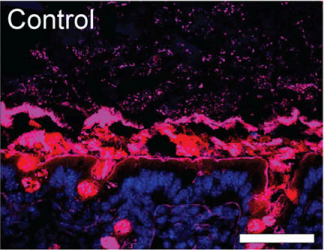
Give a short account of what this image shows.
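This is colonic mucosa in cross section, with the epithelium at the bottom and the mucus above it. Blue nuclei mark the epithelial cells, which line up in crypts. Among them lie round to oval cells filled with red, the goblet cells. On the epithelial surface lies a thick, dense red band, the inner mucus layer. Above it, looser and speckled red material extends into the lumen.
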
